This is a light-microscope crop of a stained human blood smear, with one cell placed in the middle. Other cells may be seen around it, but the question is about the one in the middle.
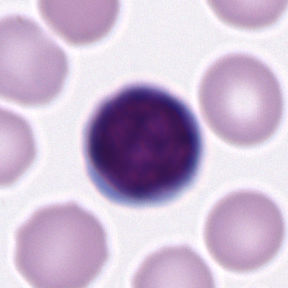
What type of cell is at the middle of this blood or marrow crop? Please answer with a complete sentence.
The cell centred in this crop is categorized as a typical lymphocyte.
